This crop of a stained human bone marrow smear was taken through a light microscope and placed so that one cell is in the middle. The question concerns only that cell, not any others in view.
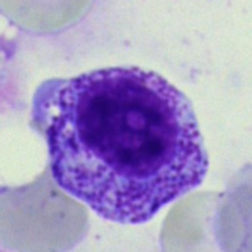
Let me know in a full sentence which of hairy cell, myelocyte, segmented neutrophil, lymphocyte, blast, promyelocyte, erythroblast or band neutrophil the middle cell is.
Whatever else lies nearby, the middle cell is a myelocyte.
